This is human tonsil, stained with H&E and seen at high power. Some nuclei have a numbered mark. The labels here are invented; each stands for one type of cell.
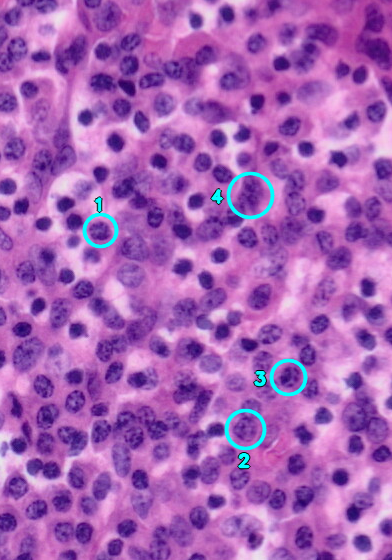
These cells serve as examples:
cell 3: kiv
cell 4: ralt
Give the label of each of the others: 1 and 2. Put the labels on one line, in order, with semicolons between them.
kiv; kiv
